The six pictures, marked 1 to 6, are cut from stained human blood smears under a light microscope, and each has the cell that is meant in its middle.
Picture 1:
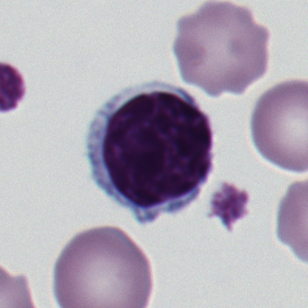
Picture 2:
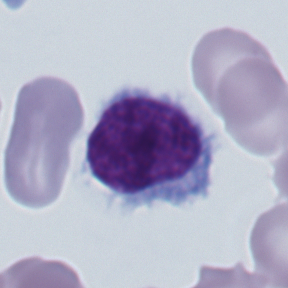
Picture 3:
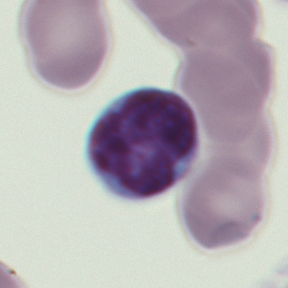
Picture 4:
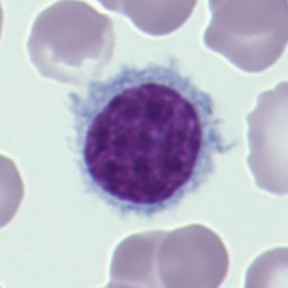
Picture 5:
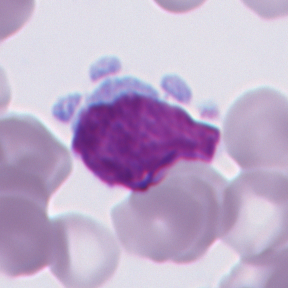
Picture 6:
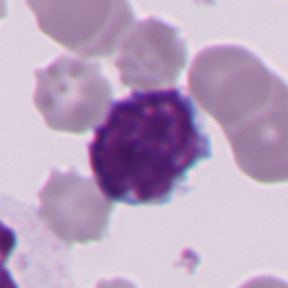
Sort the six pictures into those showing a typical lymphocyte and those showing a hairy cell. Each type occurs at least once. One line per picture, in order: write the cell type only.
typical lymphocyte
hairy cell
typical lymphocyte
hairy cell
typical lymphocyte
typical lymphocyte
